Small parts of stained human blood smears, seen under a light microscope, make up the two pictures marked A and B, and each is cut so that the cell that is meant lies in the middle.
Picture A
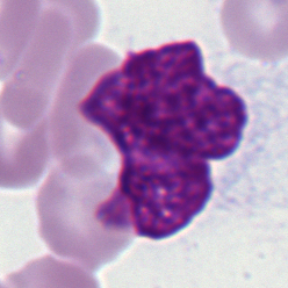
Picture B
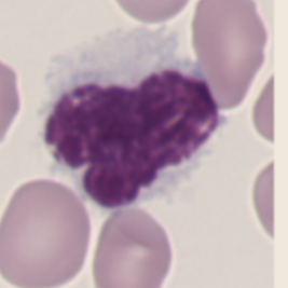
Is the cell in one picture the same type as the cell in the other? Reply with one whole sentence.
No. Picture A shows a smudge cell, but picture B shows a hairy cell.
